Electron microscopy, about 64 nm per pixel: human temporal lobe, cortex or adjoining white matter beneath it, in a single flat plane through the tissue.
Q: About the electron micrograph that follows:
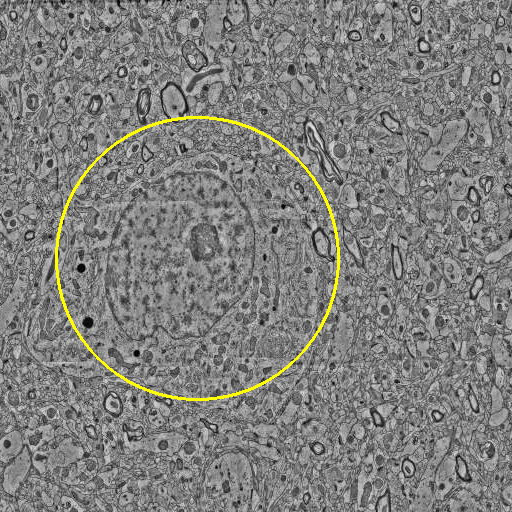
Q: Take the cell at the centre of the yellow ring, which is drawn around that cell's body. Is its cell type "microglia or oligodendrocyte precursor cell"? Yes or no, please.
No, its type is another one.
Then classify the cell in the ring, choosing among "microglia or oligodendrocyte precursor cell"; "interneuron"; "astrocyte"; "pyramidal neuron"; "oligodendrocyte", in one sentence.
The correct answer is that the cell is an interneuron.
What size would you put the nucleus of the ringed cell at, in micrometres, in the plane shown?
In this plane, roughly 11 by 9 micrometres.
